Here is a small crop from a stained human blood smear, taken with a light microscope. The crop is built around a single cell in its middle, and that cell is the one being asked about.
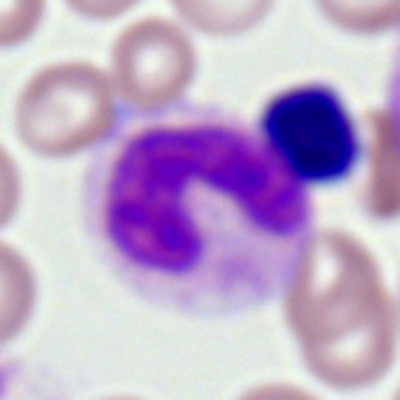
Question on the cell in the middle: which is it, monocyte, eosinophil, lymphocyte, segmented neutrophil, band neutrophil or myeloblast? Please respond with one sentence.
Present in the middle of the crop is a band neutrophil.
